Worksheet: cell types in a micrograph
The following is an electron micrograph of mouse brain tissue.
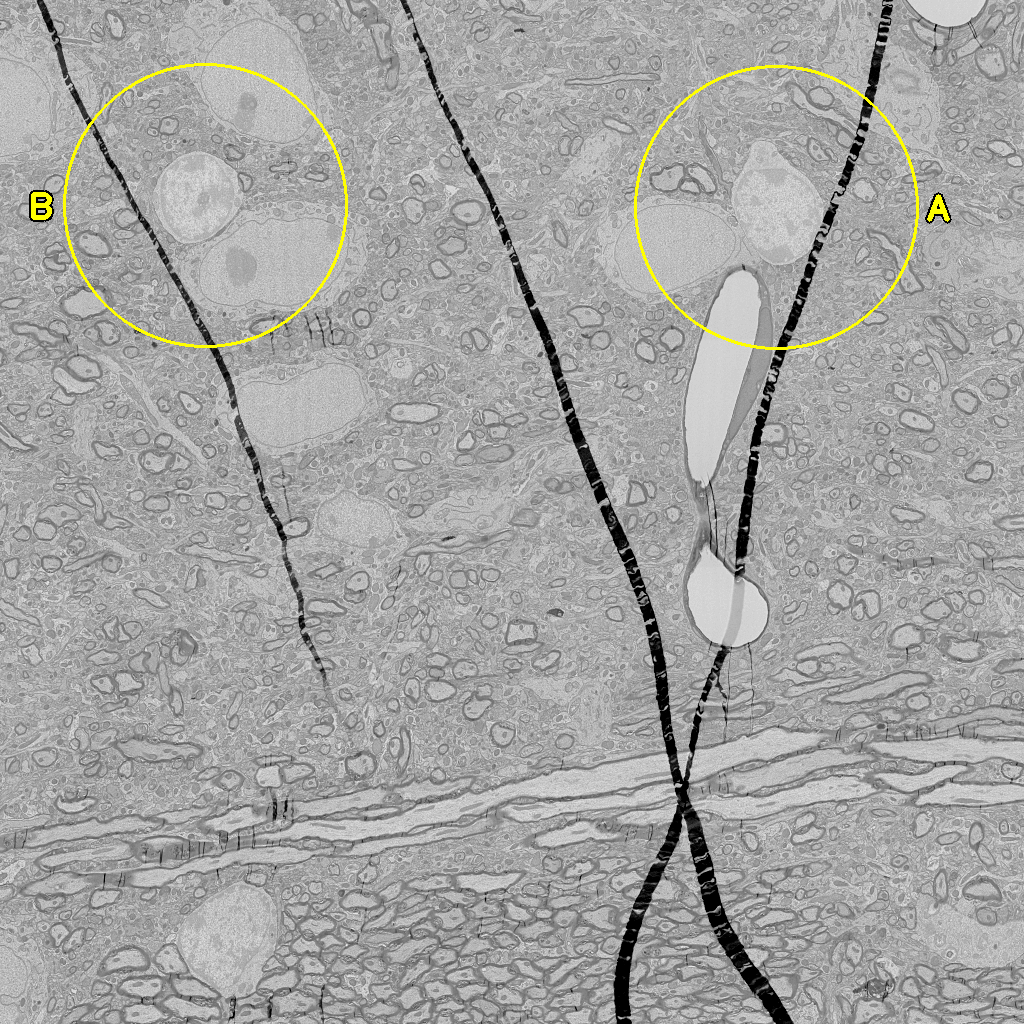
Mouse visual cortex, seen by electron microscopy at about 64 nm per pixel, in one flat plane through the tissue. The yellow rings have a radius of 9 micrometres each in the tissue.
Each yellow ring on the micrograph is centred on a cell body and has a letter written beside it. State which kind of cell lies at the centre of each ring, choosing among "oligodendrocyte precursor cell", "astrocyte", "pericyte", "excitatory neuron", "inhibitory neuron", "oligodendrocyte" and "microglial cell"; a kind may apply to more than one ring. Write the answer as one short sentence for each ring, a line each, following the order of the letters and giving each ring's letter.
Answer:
Ring A has an oligodendrocyte in its centre.
Ring B has an oligodendrocyte in its centre.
